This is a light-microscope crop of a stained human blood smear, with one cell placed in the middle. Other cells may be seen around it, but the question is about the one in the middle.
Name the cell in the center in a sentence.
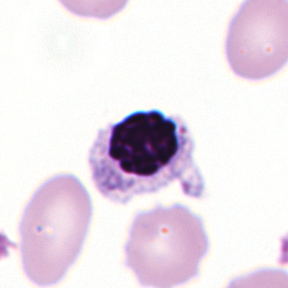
For this crop, the central cell is a normoblast.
